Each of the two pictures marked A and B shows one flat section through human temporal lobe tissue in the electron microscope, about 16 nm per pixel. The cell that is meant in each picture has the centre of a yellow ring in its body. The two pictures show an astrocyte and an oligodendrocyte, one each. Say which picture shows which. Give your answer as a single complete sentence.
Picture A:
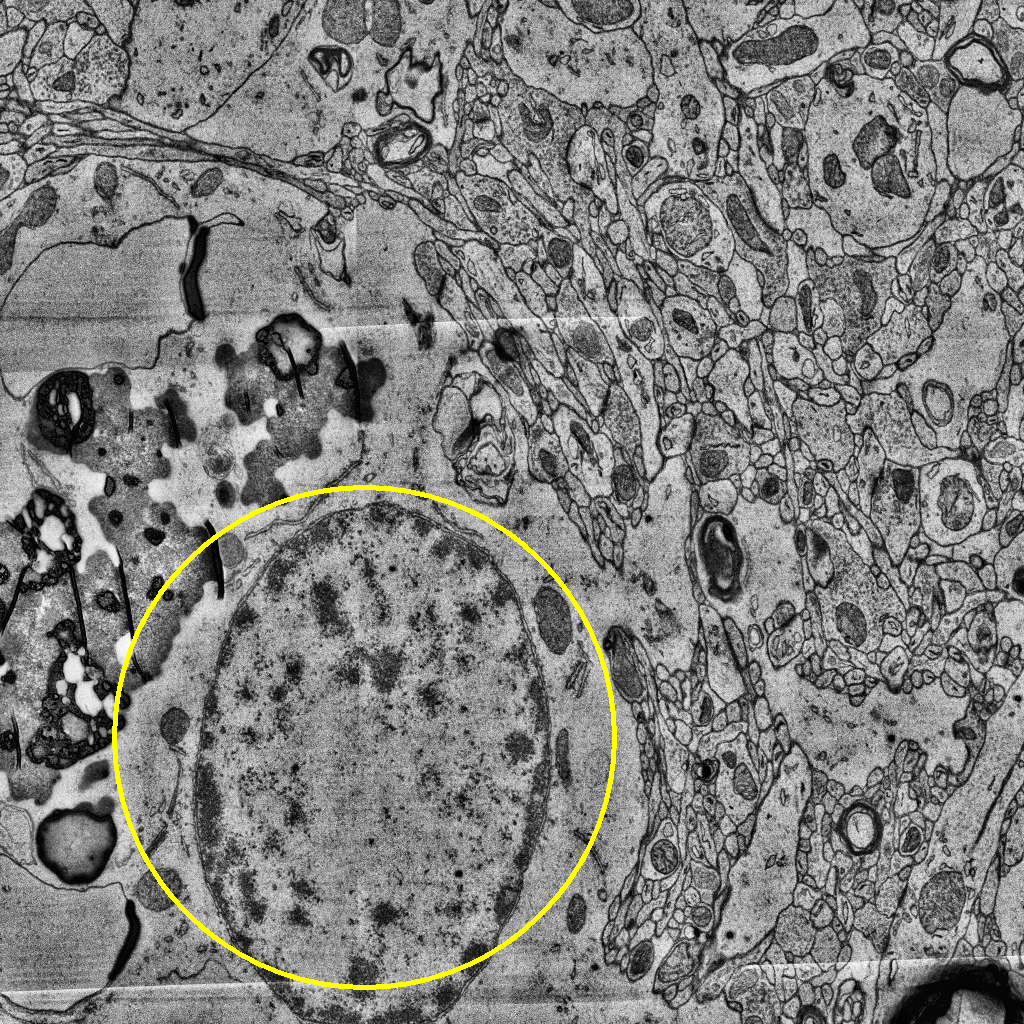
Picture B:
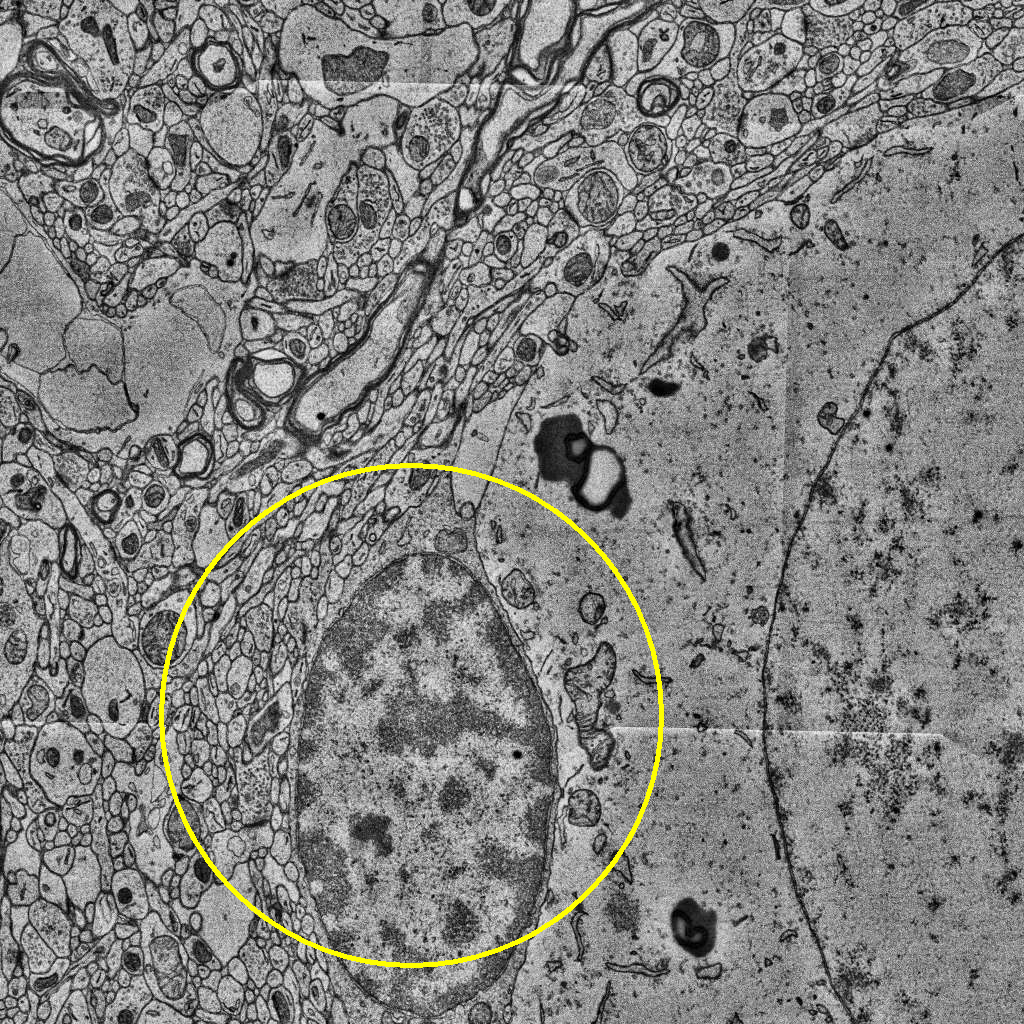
In picture A the cell is an astrocyte; in picture B, an oligodendrocyte.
